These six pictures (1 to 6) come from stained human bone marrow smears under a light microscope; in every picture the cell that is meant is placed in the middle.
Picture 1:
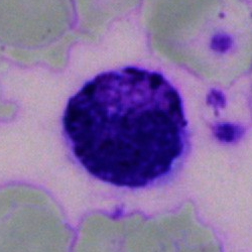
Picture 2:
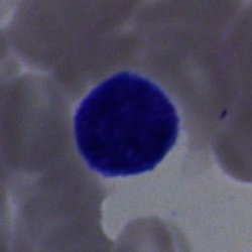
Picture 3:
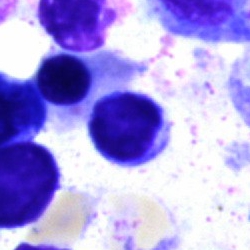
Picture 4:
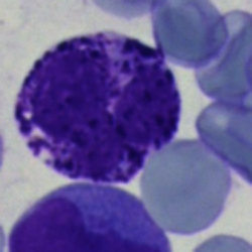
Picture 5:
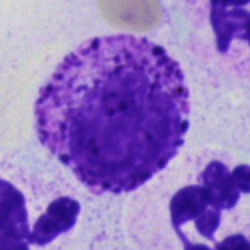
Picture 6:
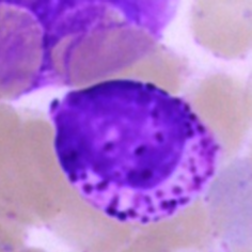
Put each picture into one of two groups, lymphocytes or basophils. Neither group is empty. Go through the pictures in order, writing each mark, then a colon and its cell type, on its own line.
1: basophil
2: lymphocyte
3: lymphocyte
4: basophil
5: basophil
6: basophil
